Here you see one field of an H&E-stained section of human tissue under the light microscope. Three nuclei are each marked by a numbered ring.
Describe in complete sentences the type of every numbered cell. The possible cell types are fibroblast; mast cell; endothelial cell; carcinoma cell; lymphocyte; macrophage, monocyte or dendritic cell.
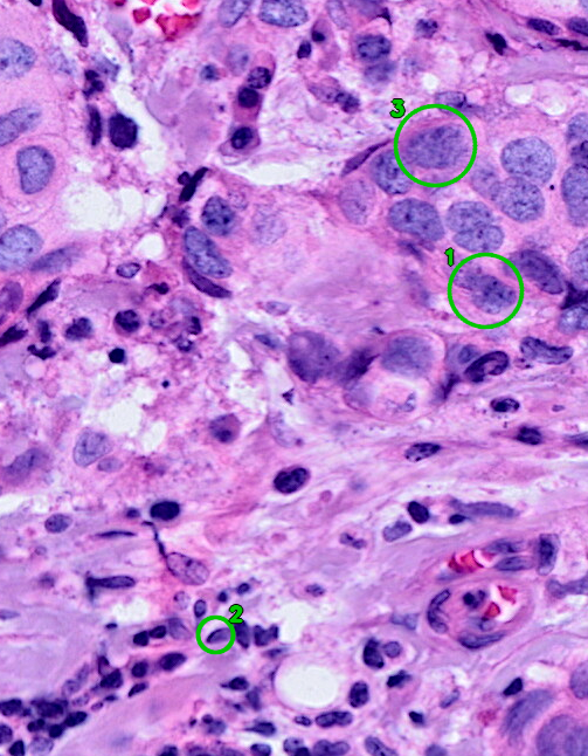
Cells 1 and 3 are carcinoma cells. Cell 2 is a lymphocyte.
